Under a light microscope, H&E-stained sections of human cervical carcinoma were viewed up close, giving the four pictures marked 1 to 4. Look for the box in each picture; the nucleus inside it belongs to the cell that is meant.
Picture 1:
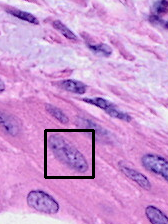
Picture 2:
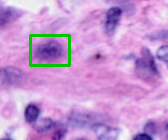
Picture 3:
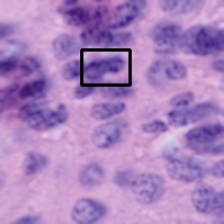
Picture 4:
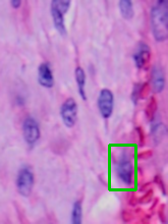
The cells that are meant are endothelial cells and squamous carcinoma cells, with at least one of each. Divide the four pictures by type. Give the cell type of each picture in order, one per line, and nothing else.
squamous carcinoma cell
endothelial cell
squamous carcinoma cell
endothelial cell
